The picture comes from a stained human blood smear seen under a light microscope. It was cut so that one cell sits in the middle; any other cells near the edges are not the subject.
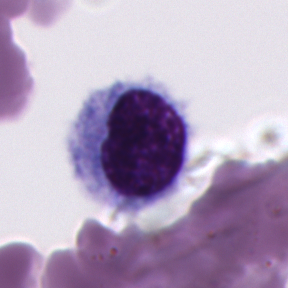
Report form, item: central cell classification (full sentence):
Within this crop, a hairy cell occupies the central position.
